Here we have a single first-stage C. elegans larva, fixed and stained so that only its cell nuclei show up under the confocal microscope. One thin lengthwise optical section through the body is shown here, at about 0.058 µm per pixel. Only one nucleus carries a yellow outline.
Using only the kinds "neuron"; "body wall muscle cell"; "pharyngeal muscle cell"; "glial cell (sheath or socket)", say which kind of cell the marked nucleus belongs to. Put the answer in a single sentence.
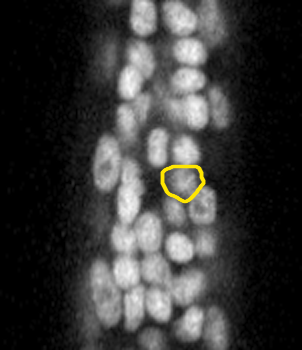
This is the nucleus of a neuron.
